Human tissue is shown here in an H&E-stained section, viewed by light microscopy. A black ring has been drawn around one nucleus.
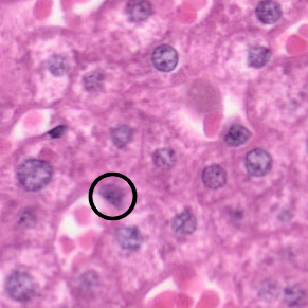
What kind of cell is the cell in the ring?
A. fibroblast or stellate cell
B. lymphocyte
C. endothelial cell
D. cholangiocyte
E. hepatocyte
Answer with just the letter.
C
